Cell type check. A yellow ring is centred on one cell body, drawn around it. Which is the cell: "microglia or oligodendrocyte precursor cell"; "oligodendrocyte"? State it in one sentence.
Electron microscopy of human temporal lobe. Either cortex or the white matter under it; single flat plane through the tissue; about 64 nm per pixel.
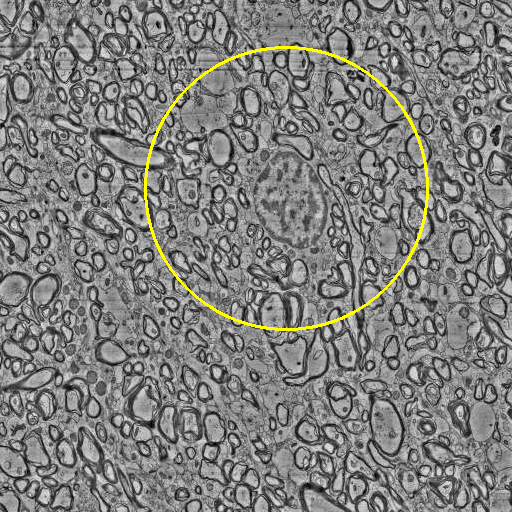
The cell body at the ring's centre belongs to an oligodendrocyte.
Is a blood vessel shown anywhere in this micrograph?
No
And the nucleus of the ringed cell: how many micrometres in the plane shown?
The ringed cell's nucleus is about 6 micrometres long and 5 micrometres wide in this plane.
